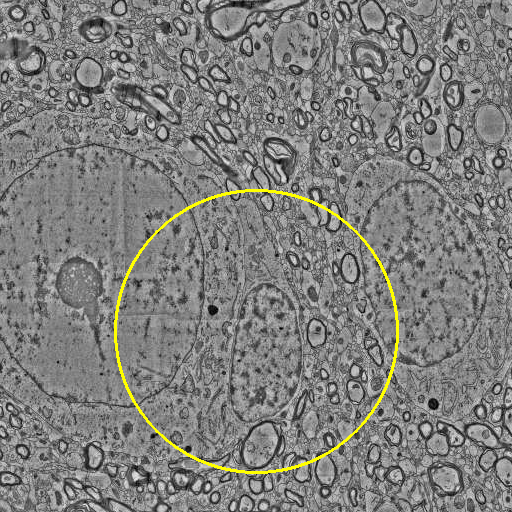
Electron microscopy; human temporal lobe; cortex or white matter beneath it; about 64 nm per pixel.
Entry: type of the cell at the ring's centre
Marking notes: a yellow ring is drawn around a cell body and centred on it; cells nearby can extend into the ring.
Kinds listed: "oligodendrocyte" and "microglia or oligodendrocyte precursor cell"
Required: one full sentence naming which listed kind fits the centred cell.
My entry names a microglial cell or oligodendrocyte precursor cell as the cell whose body the yellow ring centres on.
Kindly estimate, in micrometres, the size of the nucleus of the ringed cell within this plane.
Roughly 9 micrometres long and 5 micrometres wide; in this plane the nucleus is clearly longer than it is wide.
